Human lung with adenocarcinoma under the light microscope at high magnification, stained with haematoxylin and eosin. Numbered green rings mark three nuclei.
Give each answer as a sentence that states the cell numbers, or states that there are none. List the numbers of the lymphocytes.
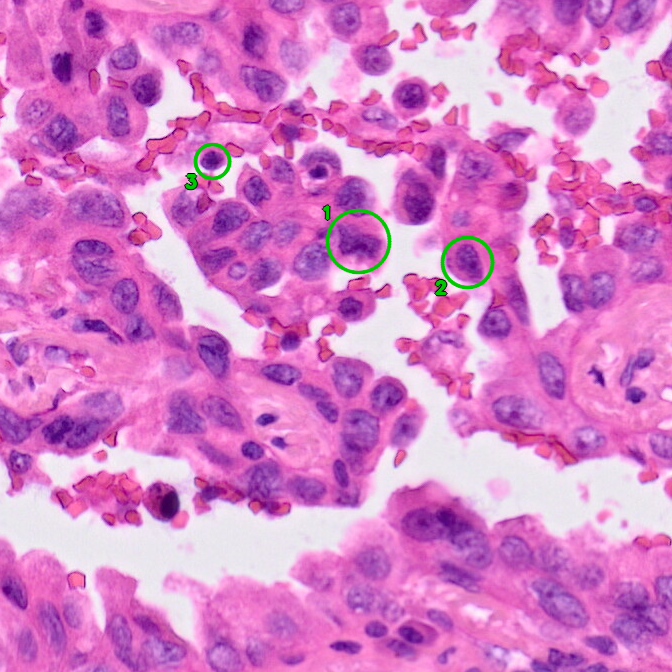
Cell 3 is a lymphocyte, and that holds for no other numbered cell.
